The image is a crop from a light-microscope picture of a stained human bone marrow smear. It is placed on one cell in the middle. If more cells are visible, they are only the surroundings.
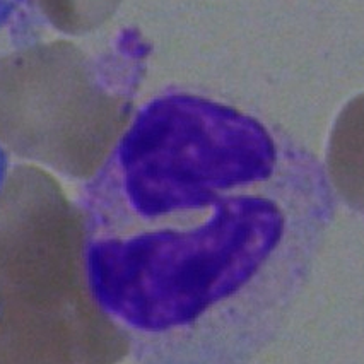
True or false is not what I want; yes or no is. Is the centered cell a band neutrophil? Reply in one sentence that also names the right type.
No, in this crop the central cell is a segmented neutrophil instead of a band neutrophil.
